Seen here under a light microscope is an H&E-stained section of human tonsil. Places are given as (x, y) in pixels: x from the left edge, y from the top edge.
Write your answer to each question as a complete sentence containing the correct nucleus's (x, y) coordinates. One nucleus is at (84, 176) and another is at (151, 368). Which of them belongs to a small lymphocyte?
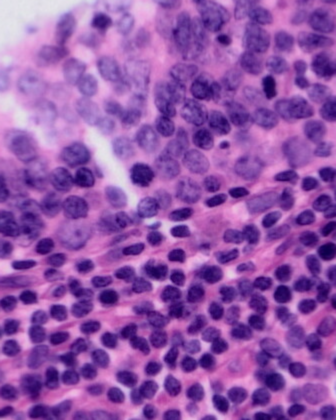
The nucleus located at (151, 368) is the one held within a small lymphocyte.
